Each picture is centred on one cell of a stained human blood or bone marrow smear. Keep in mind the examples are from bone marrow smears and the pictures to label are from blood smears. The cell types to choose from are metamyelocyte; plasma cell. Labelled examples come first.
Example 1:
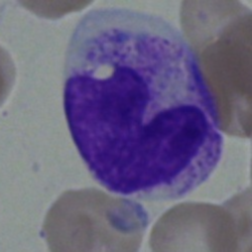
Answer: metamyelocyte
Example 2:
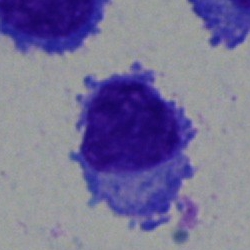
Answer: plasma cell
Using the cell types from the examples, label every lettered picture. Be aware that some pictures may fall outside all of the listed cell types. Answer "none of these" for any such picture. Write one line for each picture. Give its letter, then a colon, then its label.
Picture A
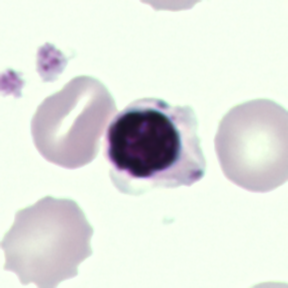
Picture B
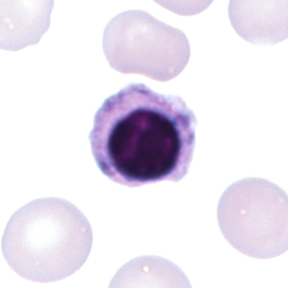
A: none of these
B: none of these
